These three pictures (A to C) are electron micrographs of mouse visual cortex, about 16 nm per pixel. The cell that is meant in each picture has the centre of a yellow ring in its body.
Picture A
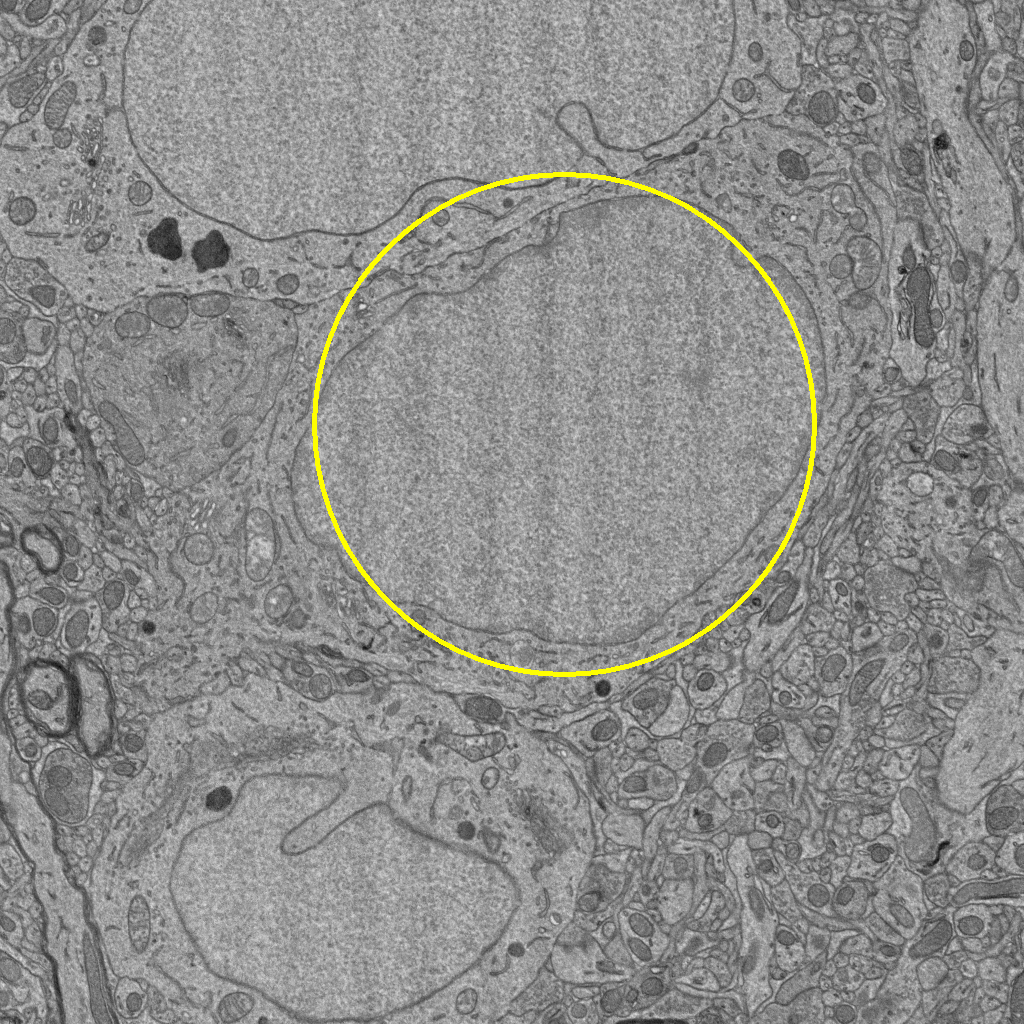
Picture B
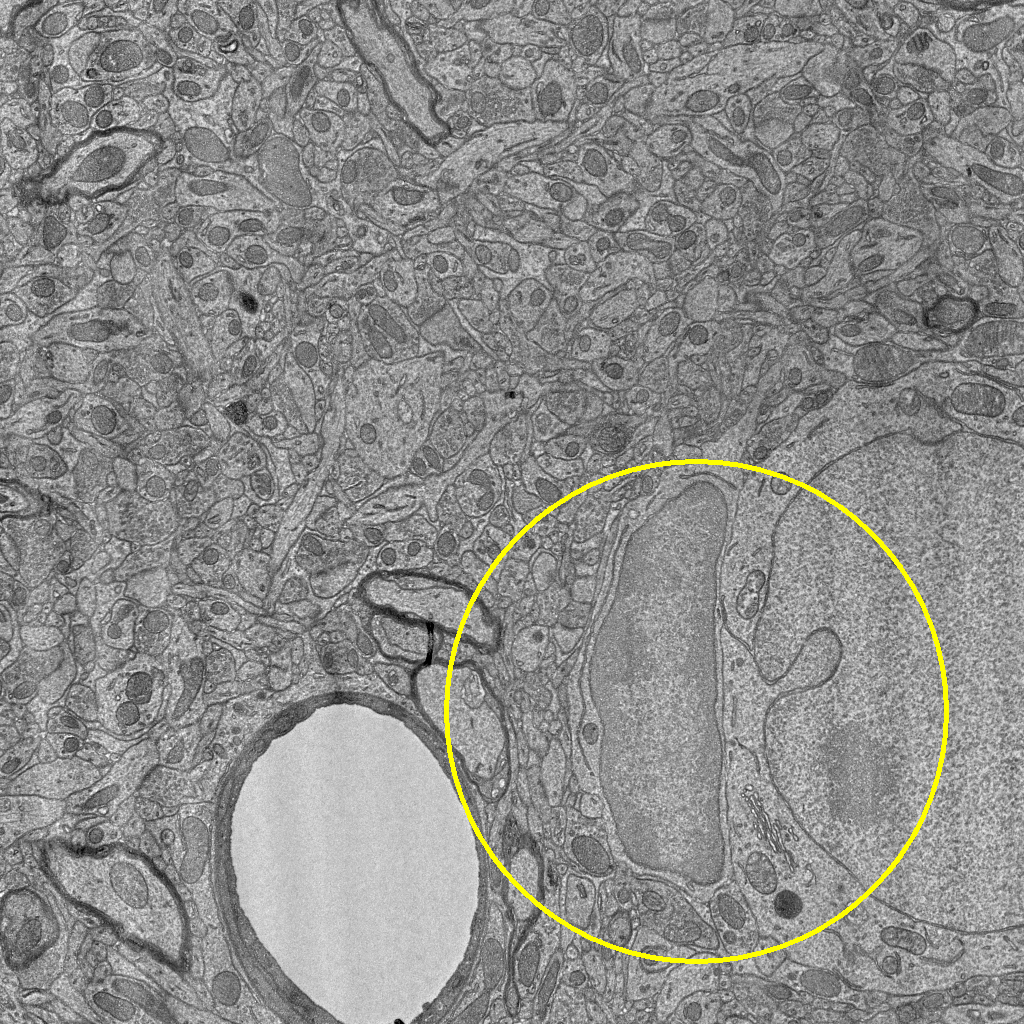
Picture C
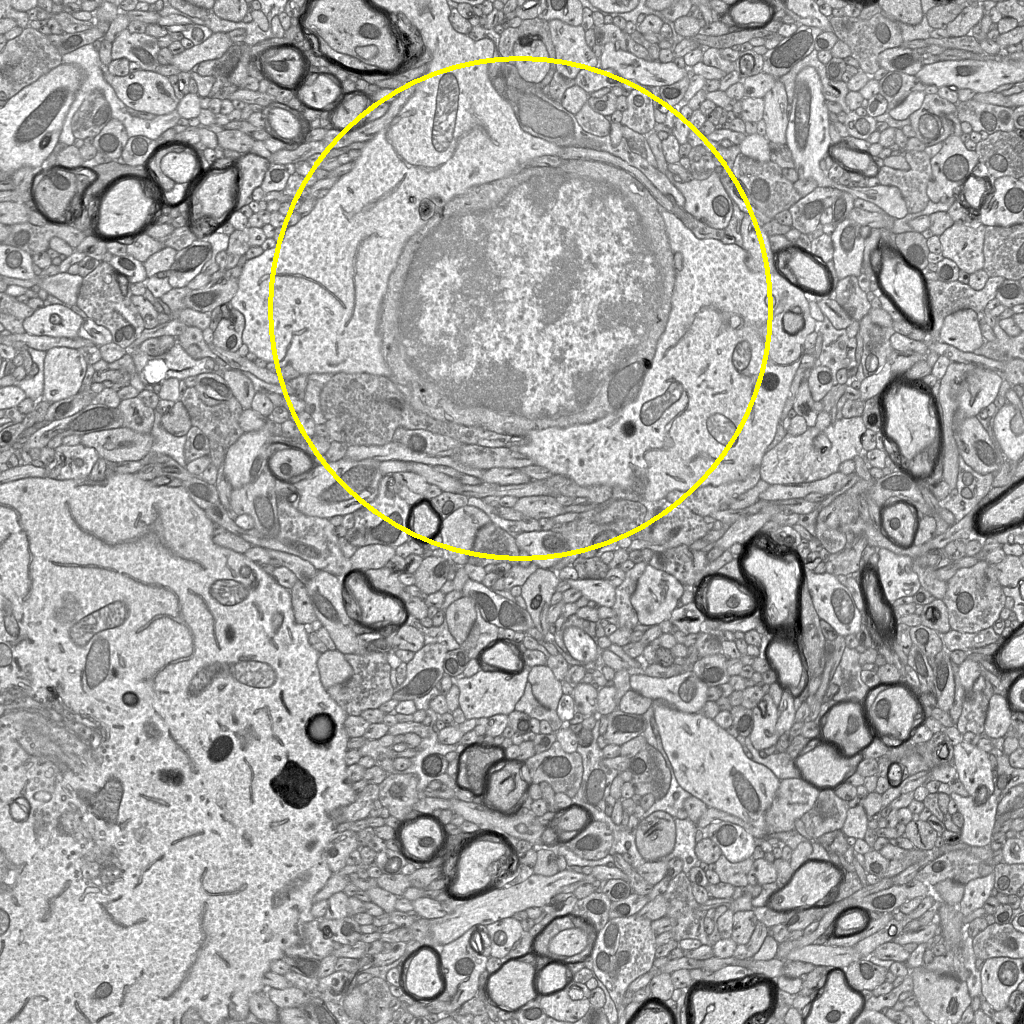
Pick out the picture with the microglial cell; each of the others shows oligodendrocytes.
The cell in picture B is the microglial cell.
